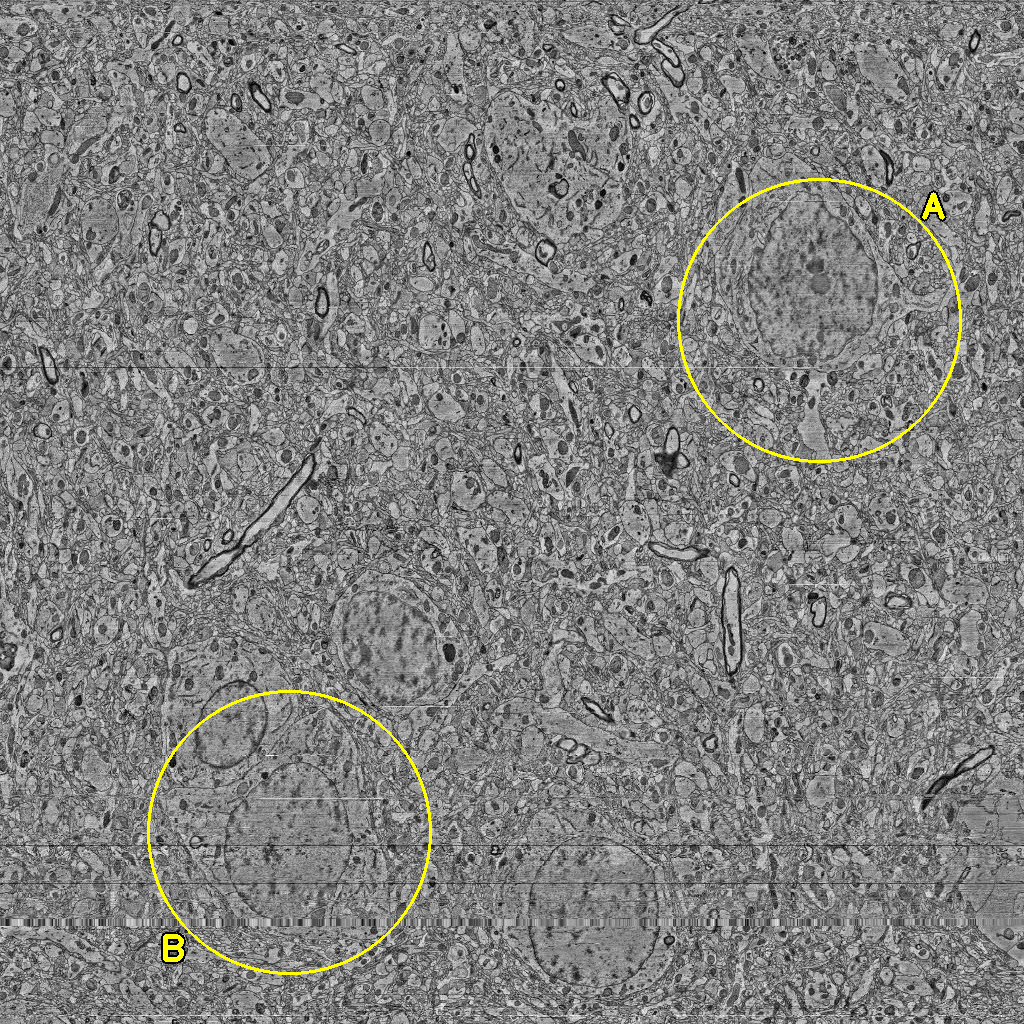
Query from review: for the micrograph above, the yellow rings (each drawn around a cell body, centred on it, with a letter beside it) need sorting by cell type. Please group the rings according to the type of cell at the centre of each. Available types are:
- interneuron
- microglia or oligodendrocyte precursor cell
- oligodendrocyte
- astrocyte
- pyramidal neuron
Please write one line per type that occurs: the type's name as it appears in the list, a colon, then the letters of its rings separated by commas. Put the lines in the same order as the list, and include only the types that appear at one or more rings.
interneuron: A
pyramidal neuron: B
